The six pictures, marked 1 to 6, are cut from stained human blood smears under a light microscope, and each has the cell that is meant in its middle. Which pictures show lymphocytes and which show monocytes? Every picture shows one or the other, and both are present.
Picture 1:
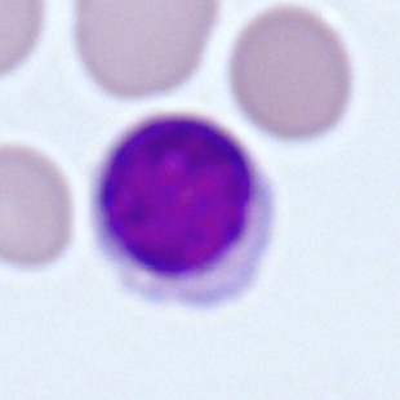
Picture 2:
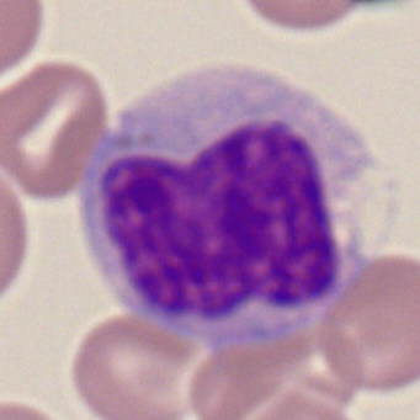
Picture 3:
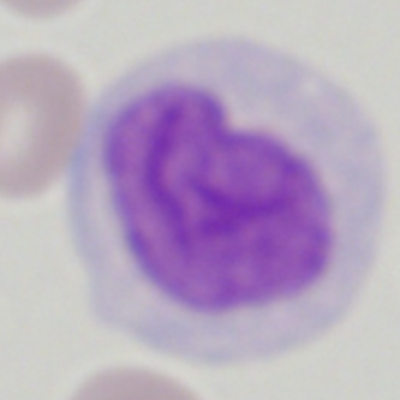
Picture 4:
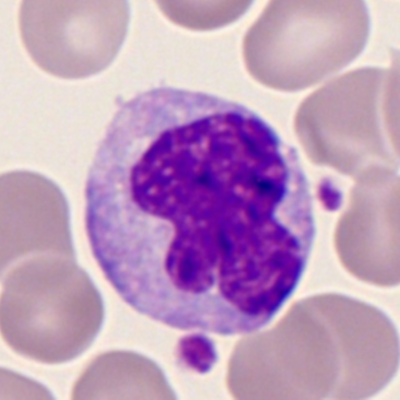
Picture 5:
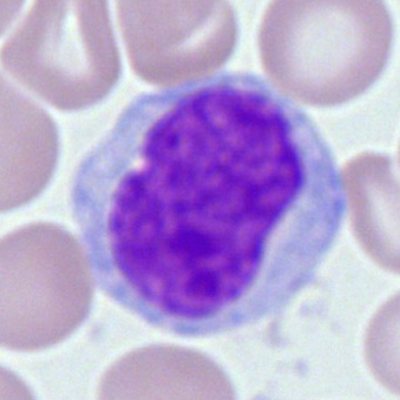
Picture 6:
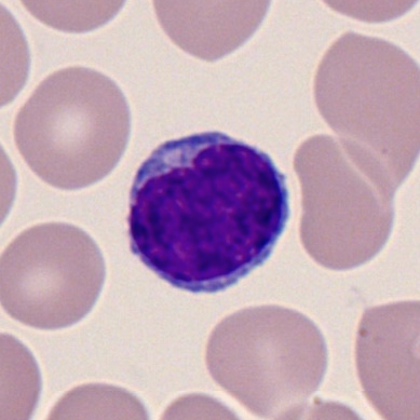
1: lymphocyte
2: monocyte
3: monocyte
4: monocyte
5: monocyte
6: lymphocyte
